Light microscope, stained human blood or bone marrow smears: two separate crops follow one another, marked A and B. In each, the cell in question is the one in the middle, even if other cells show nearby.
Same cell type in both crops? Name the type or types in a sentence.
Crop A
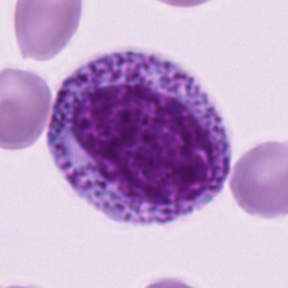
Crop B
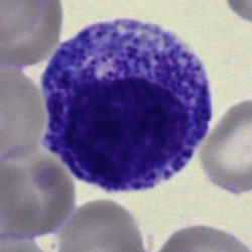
Yes, both crops, not just one, show myelocytes.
